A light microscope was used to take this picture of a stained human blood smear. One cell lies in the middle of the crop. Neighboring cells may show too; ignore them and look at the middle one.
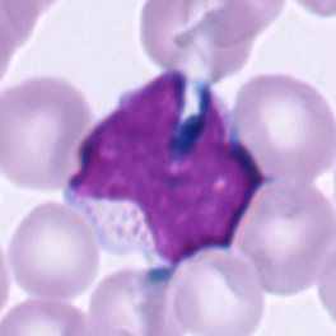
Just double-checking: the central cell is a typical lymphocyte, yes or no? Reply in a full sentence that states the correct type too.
No, the centred cell is a large granular lymphocyte, and it is not a typical lymphocyte.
